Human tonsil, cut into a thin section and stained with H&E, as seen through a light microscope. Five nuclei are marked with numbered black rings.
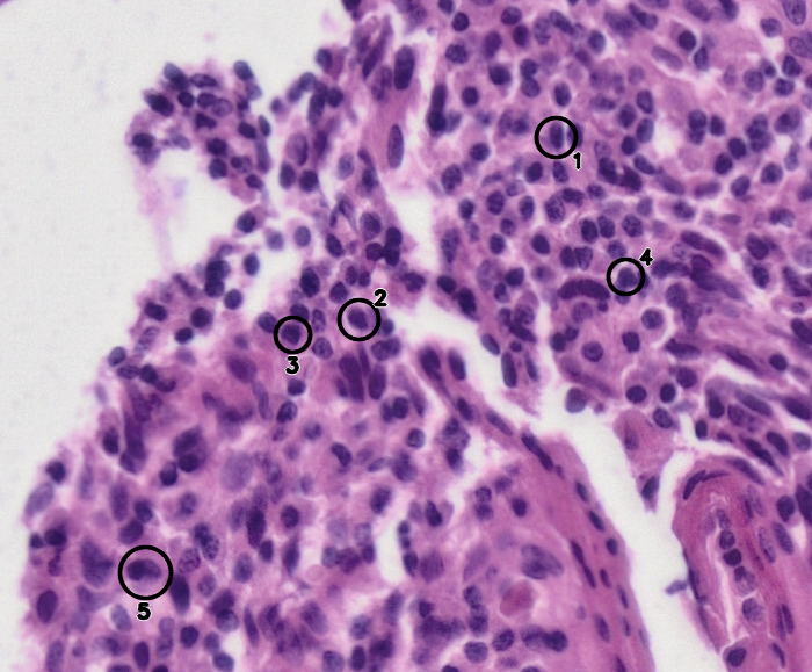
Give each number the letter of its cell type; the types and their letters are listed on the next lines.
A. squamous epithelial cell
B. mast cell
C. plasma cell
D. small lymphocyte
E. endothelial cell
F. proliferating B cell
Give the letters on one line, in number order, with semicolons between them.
C; C; C; D; A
